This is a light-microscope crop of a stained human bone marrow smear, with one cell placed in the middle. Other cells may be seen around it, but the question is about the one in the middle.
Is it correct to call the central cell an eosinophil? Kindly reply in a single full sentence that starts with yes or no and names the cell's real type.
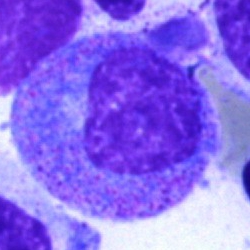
No, the one in the center is not an eosinophil; it is a promyelocyte.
